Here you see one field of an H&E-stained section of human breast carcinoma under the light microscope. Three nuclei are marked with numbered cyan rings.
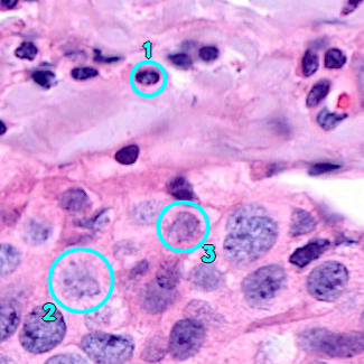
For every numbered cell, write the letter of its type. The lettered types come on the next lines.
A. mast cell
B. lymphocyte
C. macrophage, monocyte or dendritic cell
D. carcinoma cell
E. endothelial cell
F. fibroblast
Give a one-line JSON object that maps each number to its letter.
{"1": "A", "2": "D", "3": "D"}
